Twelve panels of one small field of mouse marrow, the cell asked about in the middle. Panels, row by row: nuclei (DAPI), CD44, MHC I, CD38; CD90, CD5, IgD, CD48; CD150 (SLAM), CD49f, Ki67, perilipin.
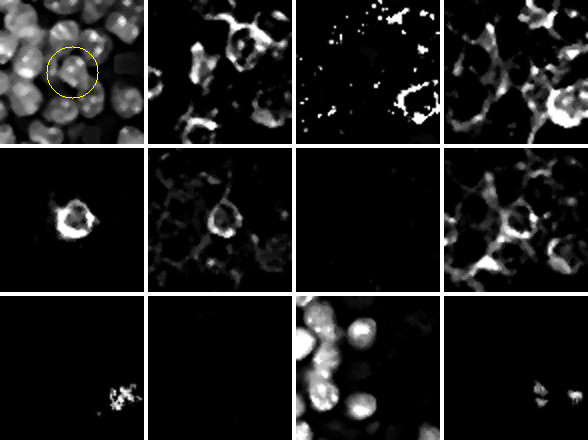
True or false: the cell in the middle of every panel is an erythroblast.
False; it is a T cell.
